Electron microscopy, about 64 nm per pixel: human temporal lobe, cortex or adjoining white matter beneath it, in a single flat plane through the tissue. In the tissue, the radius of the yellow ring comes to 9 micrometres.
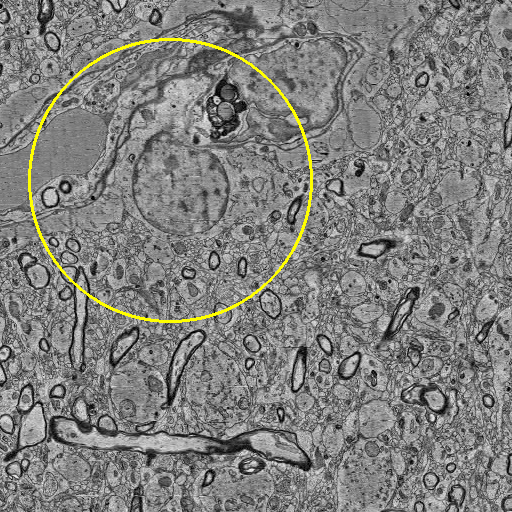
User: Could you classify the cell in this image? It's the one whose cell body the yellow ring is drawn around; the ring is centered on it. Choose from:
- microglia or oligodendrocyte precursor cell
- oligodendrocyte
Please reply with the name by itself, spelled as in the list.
microglia or oligodendrocyte precursor cell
